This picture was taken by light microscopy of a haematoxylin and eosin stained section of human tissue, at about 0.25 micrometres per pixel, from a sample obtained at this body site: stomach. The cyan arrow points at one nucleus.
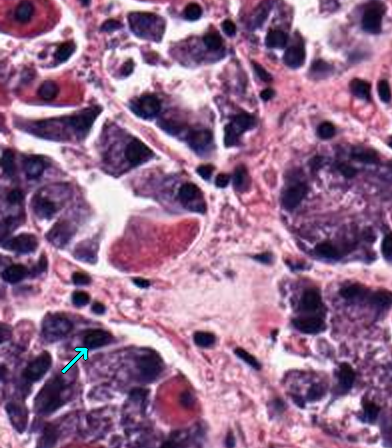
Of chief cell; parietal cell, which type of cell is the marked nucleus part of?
chief cell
